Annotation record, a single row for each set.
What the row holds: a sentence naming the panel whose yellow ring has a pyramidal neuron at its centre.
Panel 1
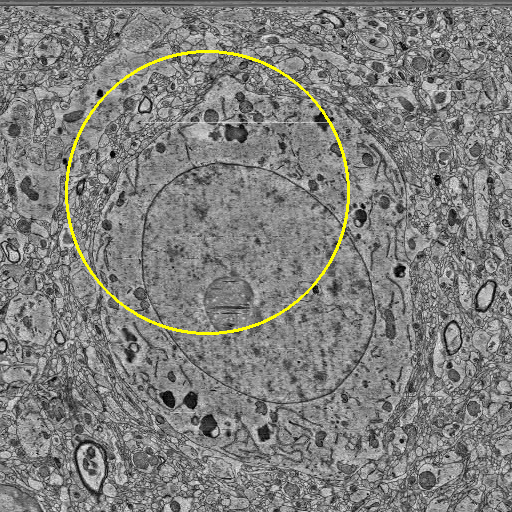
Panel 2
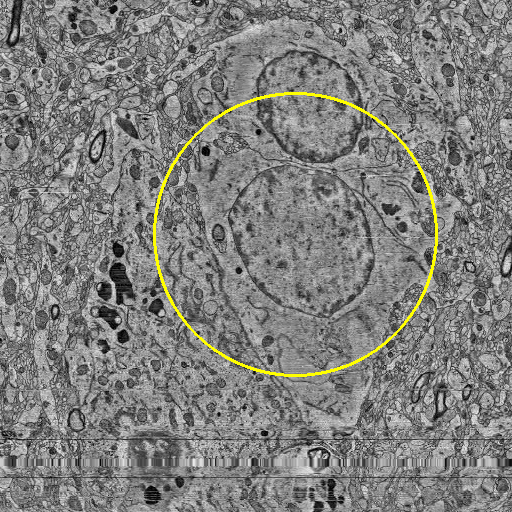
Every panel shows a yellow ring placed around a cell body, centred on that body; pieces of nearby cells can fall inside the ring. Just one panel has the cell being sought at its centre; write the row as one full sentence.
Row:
In panel 1, the cell at the middle of the yellow ring is the one sought.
